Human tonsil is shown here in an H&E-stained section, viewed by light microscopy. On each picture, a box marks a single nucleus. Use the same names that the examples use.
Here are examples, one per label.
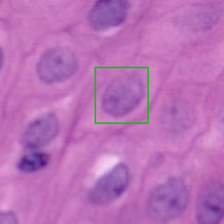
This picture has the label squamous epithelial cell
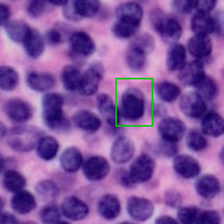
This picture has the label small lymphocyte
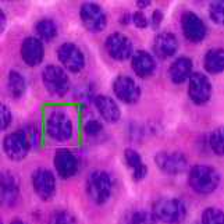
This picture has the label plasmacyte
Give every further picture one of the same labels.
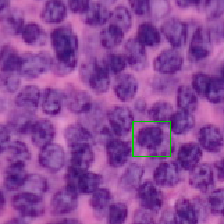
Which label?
small lymphocyte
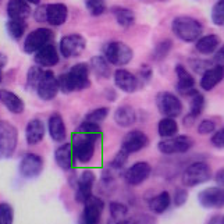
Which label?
small lymphocyte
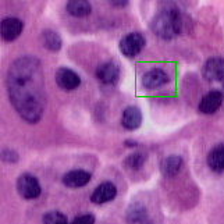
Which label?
plasmacyte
